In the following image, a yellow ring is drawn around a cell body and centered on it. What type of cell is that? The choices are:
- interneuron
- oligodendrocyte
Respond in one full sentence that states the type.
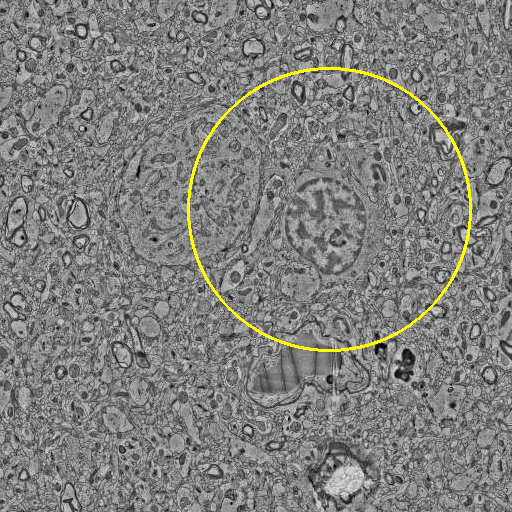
The cell at the center of the yellow ring in the image is an oligodendrocyte.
